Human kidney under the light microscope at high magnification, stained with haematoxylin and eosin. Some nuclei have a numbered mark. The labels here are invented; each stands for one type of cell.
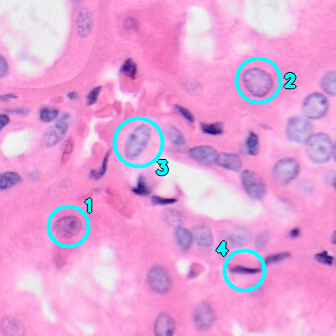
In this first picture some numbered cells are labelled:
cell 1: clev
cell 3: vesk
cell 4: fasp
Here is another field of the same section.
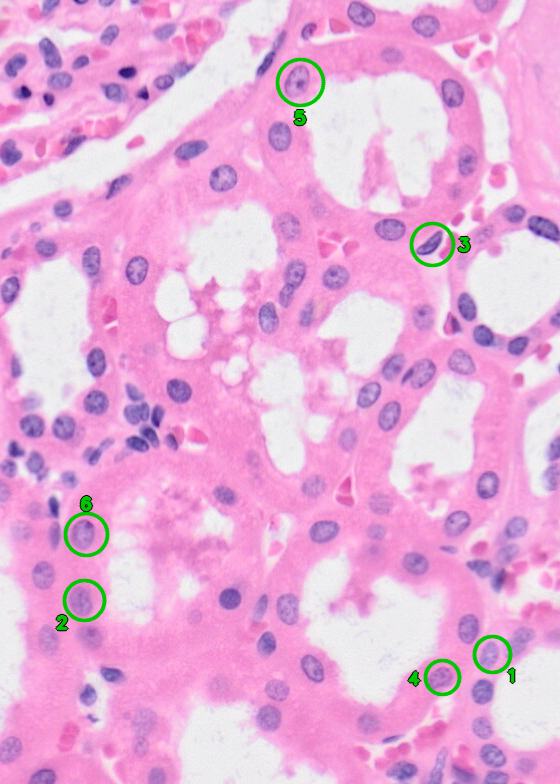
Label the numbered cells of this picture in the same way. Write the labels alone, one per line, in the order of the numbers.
vesk
clev
fasp
clev
clev
clev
